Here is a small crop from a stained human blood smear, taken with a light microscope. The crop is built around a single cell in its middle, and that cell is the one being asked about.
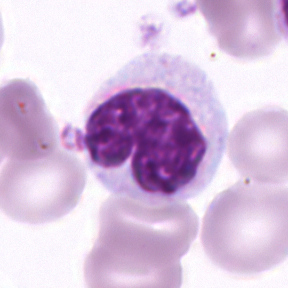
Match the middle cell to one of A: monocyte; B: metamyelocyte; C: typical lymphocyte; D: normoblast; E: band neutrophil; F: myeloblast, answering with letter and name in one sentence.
It is a band neutrophil that occupies the centre of the crop, so option E is correct.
